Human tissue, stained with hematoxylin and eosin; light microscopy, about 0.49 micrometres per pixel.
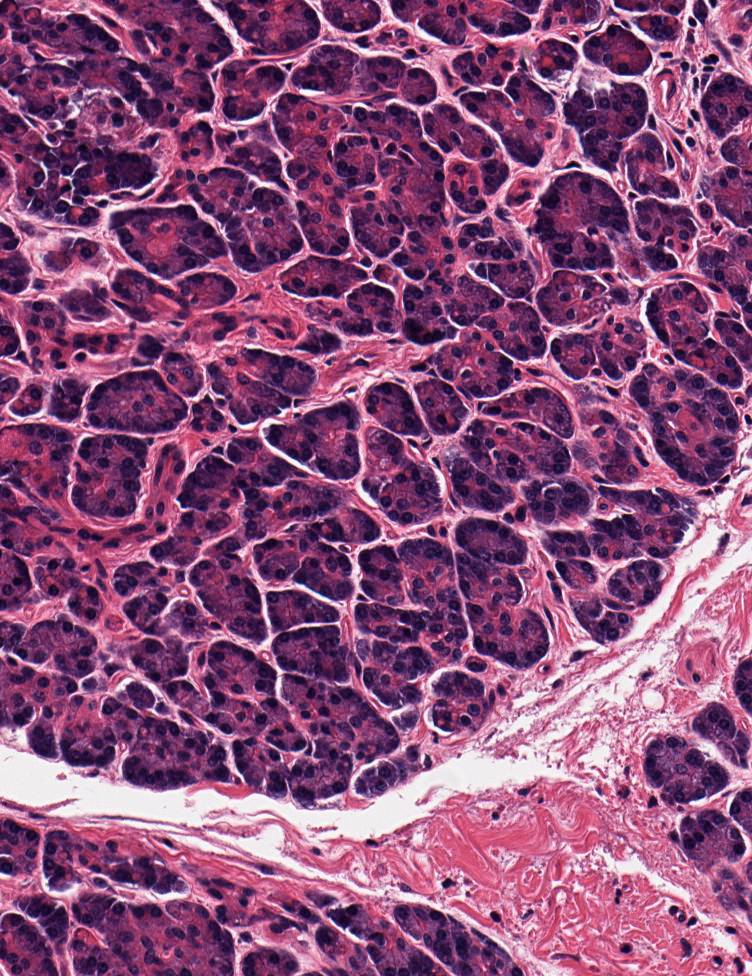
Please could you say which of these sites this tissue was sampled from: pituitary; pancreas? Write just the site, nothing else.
pancreas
